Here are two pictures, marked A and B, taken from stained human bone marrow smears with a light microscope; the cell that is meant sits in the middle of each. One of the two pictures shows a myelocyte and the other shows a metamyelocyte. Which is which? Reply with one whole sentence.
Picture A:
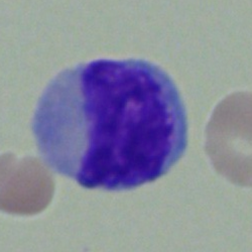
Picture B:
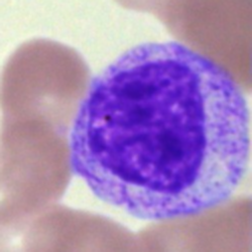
Picture A shows a metamyelocyte and picture B shows a myelocyte.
